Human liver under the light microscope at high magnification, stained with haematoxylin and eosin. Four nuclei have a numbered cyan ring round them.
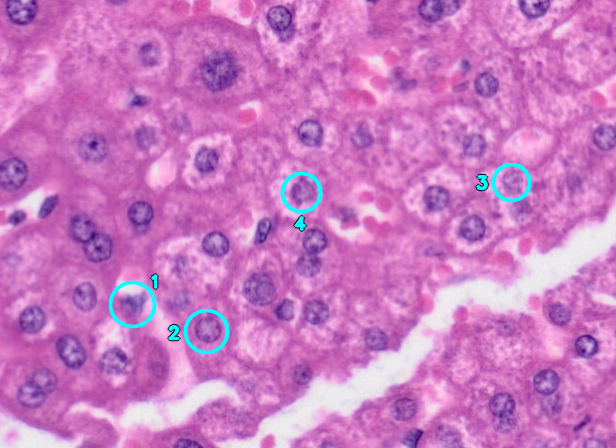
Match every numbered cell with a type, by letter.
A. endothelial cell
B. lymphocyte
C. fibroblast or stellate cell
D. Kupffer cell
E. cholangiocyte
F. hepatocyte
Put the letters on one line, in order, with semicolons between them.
A; F; F; F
